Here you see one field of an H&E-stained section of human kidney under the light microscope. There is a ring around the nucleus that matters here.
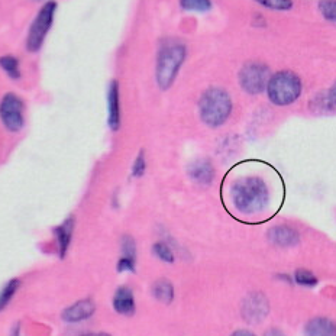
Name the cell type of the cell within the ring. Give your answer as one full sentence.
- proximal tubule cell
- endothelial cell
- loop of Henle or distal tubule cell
Microscopically, the cell within the ring is categorized as a loop of Henle or distal tubule cell.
